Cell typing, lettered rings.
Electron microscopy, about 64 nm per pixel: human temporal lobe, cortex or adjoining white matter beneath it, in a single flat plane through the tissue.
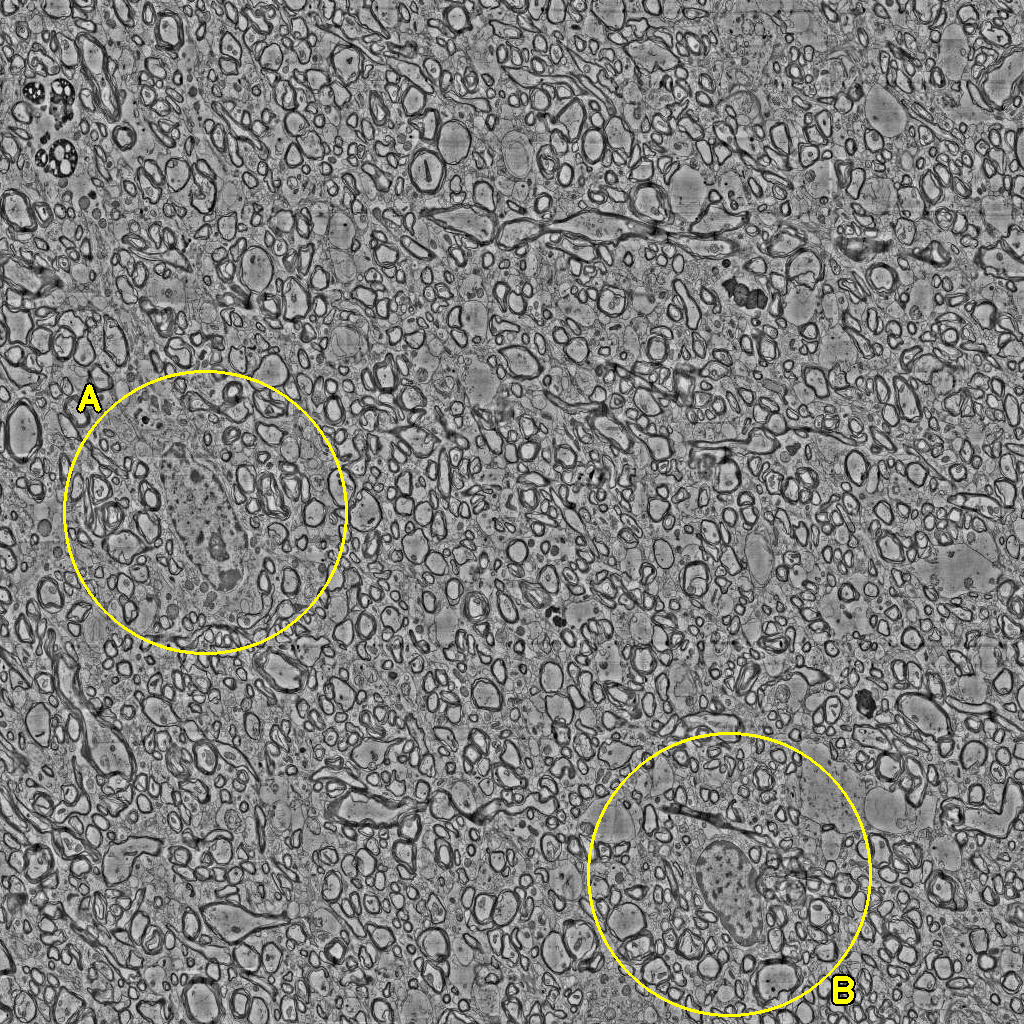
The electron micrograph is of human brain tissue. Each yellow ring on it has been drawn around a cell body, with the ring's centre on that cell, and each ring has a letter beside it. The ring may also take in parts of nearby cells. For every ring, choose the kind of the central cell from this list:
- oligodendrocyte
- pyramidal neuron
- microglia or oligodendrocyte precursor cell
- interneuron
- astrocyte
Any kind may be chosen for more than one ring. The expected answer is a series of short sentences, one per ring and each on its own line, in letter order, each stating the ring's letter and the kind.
For ring A, the centred cell is an astrocyte.
For ring B, the centred cell is a microglial cell or oligodendrocyte precursor cell.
